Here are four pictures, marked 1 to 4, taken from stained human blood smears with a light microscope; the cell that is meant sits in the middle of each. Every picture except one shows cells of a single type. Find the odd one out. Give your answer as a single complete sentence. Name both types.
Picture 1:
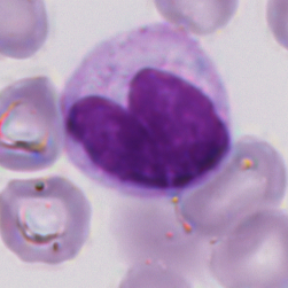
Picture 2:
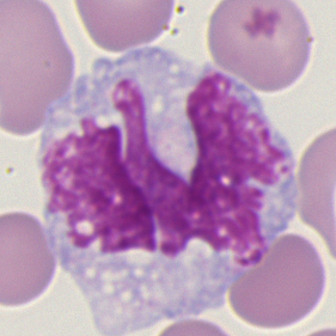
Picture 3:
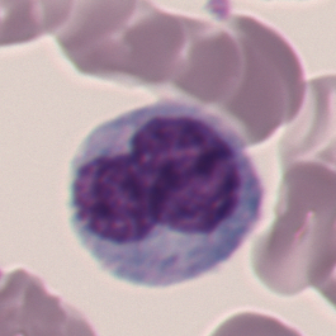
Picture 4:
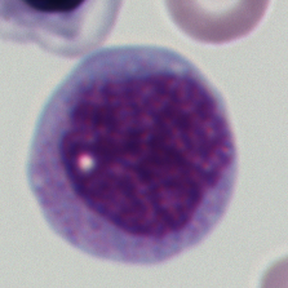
The different one is picture 1; it shows a band neutrophil, whereas all the others show monocytes.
